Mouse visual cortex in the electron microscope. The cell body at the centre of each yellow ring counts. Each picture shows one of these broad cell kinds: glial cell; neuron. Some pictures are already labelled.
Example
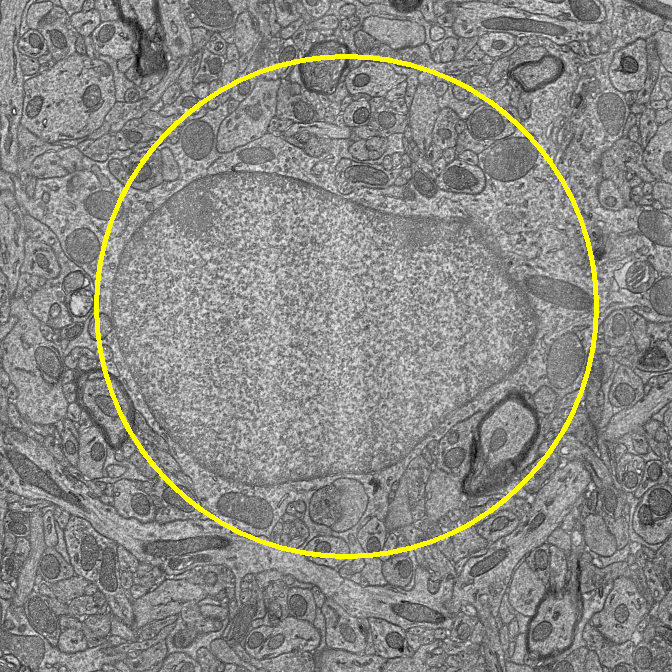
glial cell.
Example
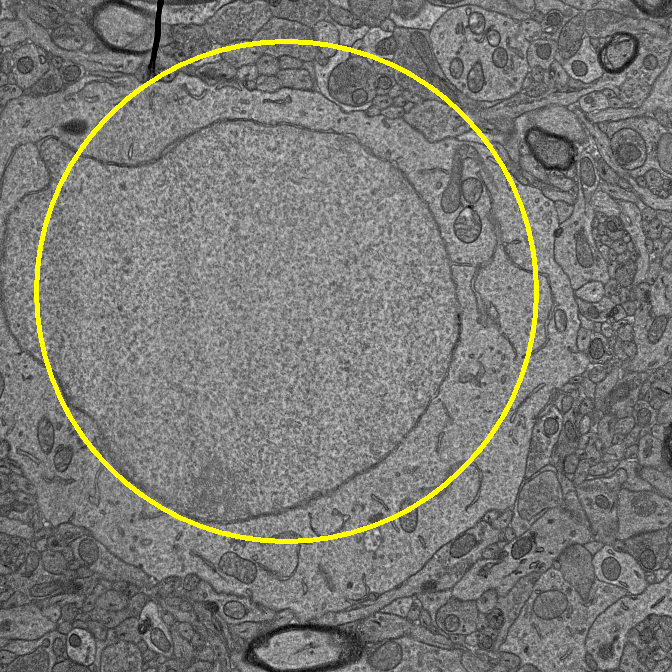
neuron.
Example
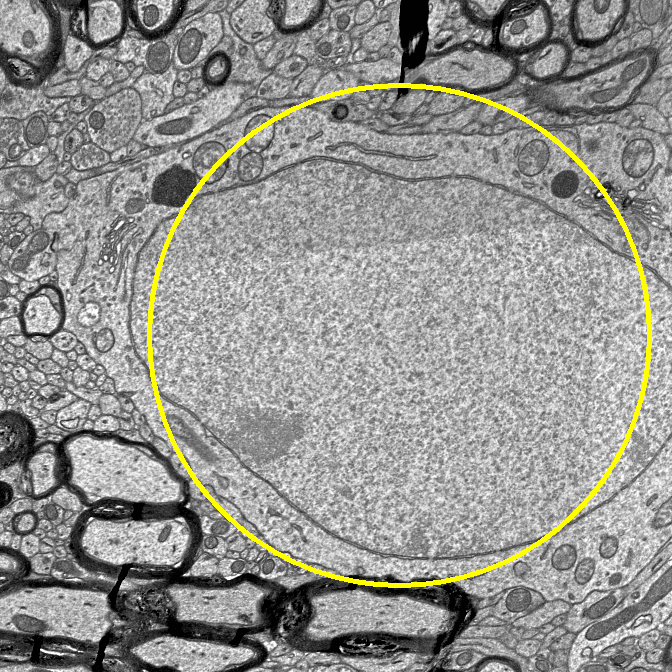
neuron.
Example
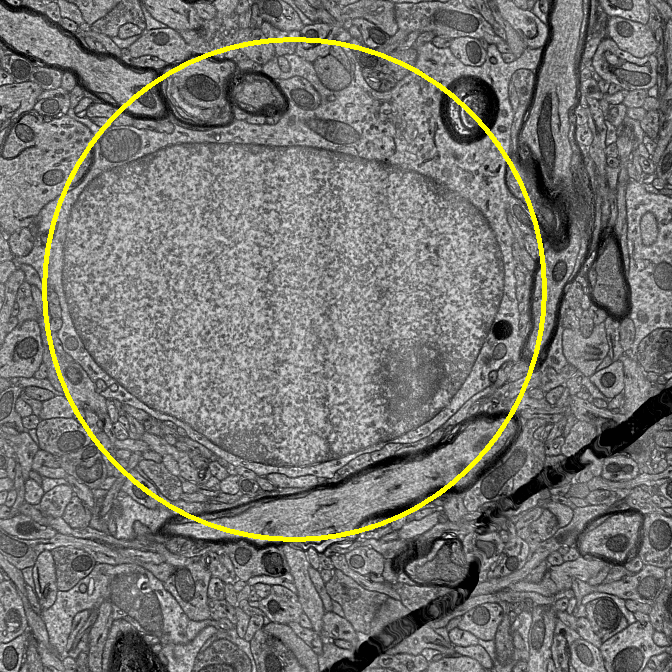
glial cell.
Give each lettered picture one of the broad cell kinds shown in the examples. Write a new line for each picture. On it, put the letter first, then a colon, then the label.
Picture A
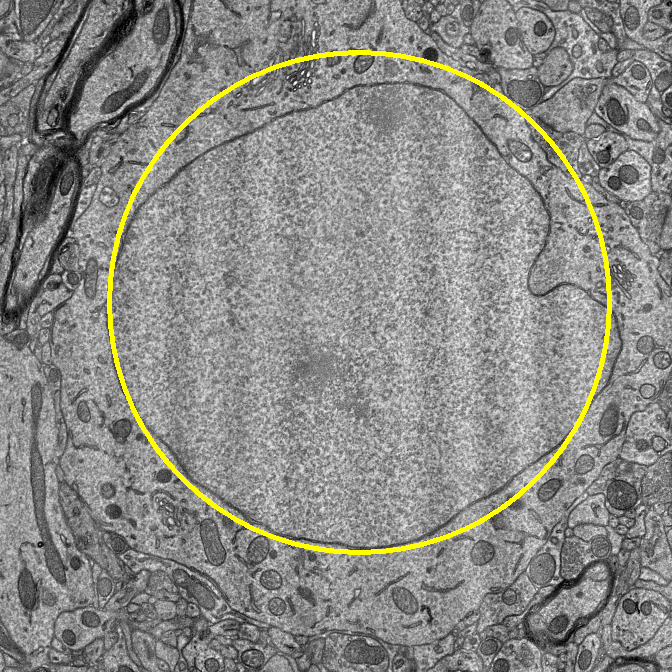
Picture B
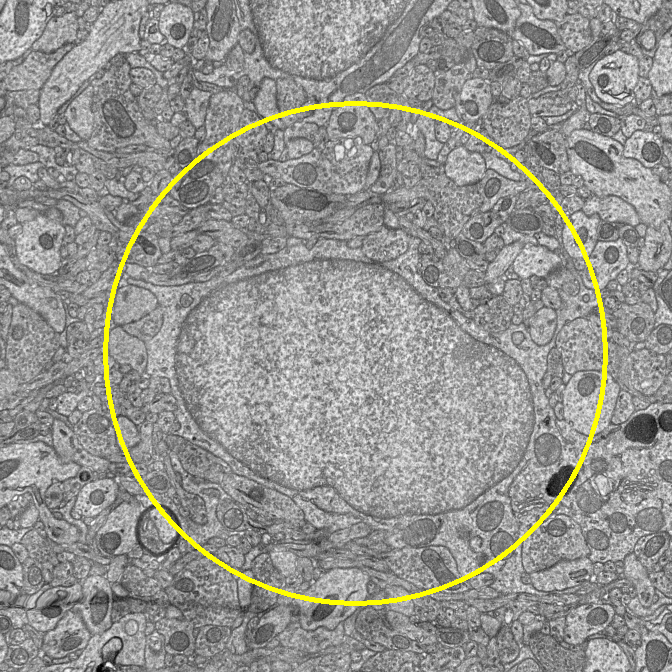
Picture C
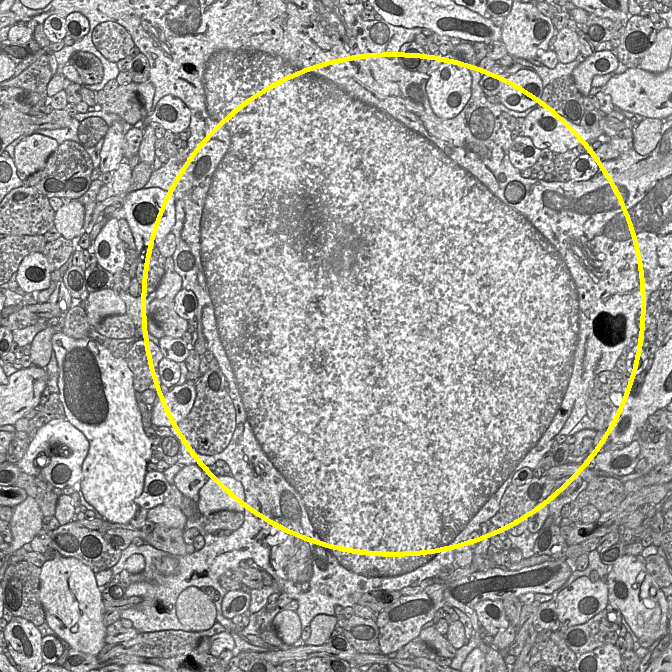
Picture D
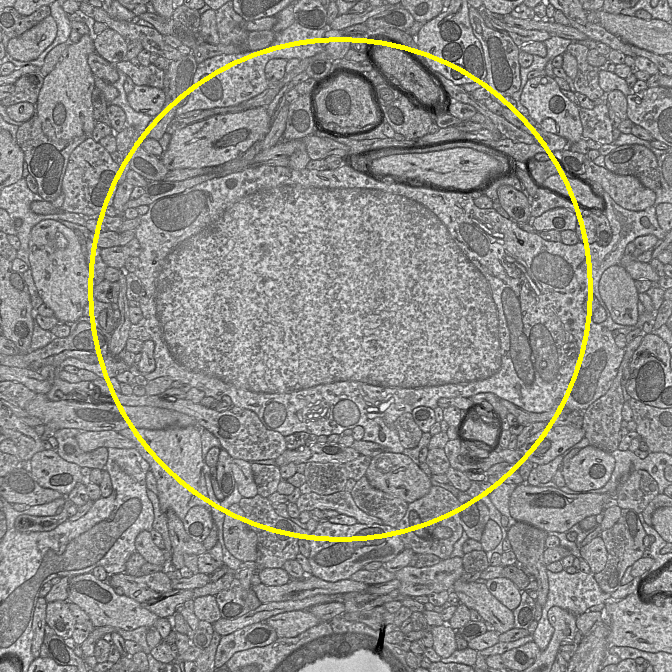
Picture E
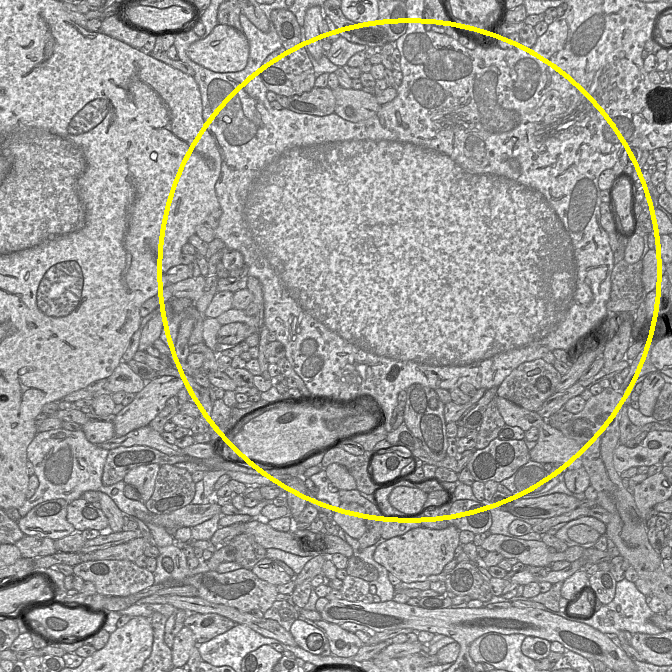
A: neuron.
B: glial cell.
C: glial cell.
D: glial cell.
E: glial cell.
